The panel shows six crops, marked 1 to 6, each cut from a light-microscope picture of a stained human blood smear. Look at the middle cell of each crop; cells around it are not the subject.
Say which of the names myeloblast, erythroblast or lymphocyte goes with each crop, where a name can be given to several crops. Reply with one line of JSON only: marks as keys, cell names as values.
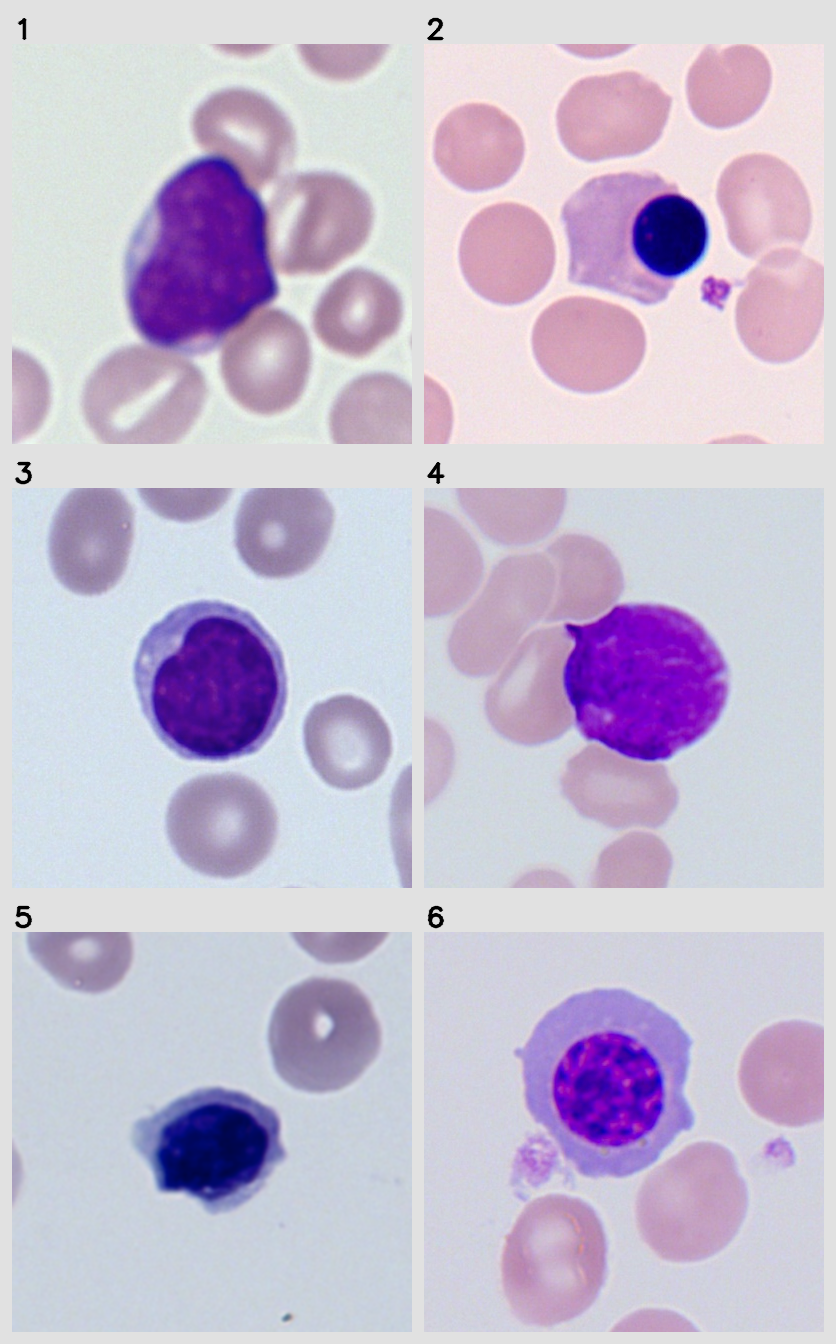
{"1": "myeloblast", "2": "erythroblast", "3": "lymphocyte", "4": "myeloblast", "5": "erythroblast", "6": "erythroblast"}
